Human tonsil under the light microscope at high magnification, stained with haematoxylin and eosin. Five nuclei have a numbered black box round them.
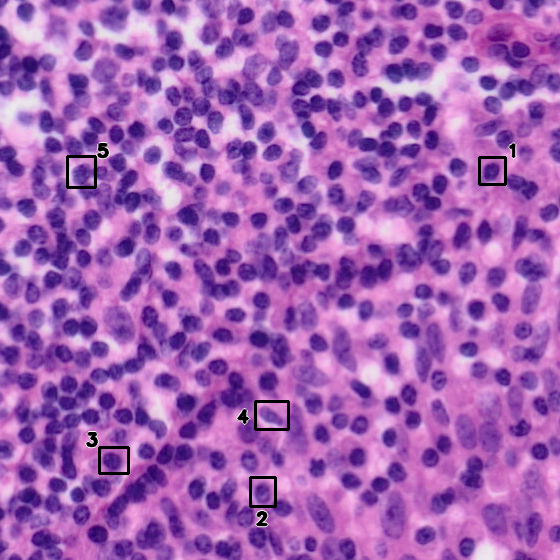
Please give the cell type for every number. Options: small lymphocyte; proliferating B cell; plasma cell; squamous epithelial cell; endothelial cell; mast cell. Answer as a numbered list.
1. plasma cell
2. plasma cell
3. plasma cell
4. squamous epithelial cell
5. small lymphocyte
